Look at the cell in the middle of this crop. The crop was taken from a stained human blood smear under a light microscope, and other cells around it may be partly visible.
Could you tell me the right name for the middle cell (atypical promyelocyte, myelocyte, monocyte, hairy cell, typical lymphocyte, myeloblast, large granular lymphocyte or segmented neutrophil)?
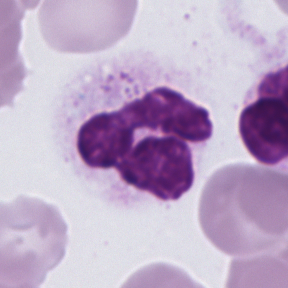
segmented neutrophil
